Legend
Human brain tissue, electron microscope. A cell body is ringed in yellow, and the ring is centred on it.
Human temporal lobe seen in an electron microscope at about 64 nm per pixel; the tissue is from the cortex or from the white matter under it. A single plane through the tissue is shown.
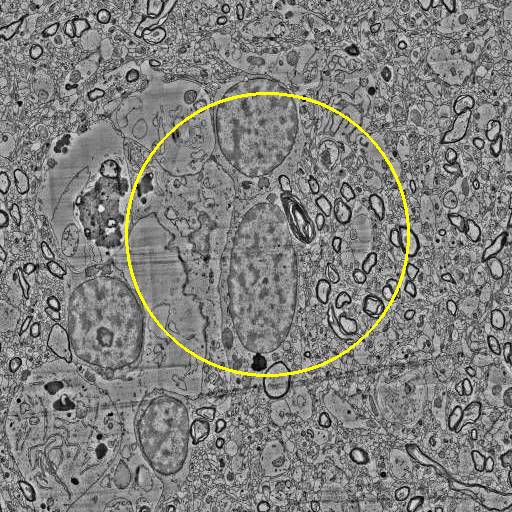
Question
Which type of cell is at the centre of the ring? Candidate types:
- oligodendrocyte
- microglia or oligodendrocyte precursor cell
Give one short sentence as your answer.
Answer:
The yellow ring is centred here on an oligodendrocyte.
